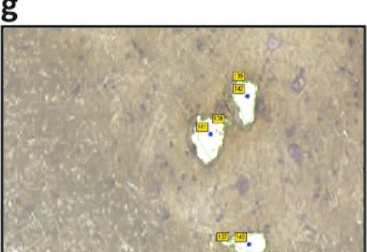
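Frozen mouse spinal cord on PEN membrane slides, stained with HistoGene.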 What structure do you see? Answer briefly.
Void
